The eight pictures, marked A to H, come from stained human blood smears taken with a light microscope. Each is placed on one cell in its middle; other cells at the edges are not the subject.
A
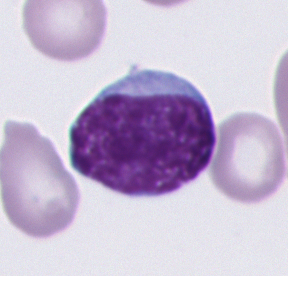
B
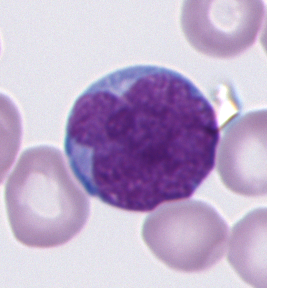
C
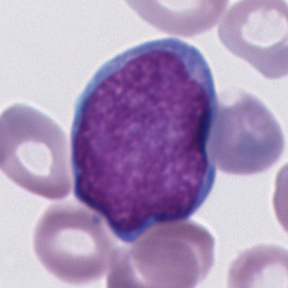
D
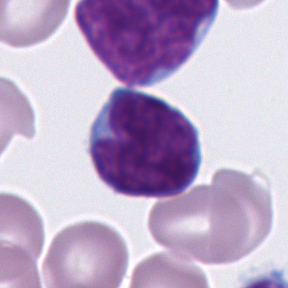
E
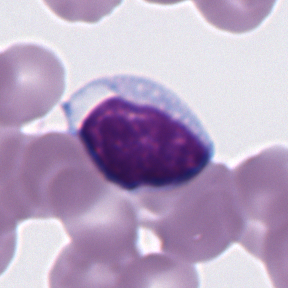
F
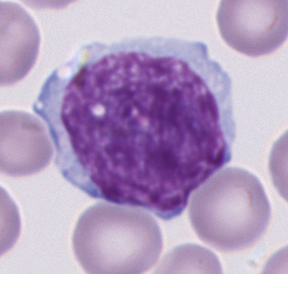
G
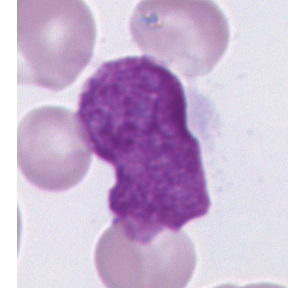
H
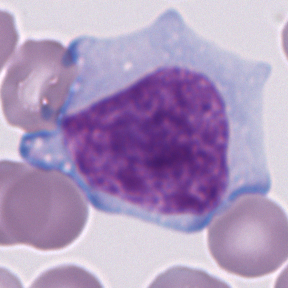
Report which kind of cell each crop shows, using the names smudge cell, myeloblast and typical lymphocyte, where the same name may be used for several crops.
A: myeloblast
B: myeloblast
C: myeloblast
D: myeloblast
E: typical lymphocyte
F: myeloblast
G: smudge cell
H: myeloblast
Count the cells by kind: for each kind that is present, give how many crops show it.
myeloblast: 6
typical lymphocyte: 1
smudge cell: 1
